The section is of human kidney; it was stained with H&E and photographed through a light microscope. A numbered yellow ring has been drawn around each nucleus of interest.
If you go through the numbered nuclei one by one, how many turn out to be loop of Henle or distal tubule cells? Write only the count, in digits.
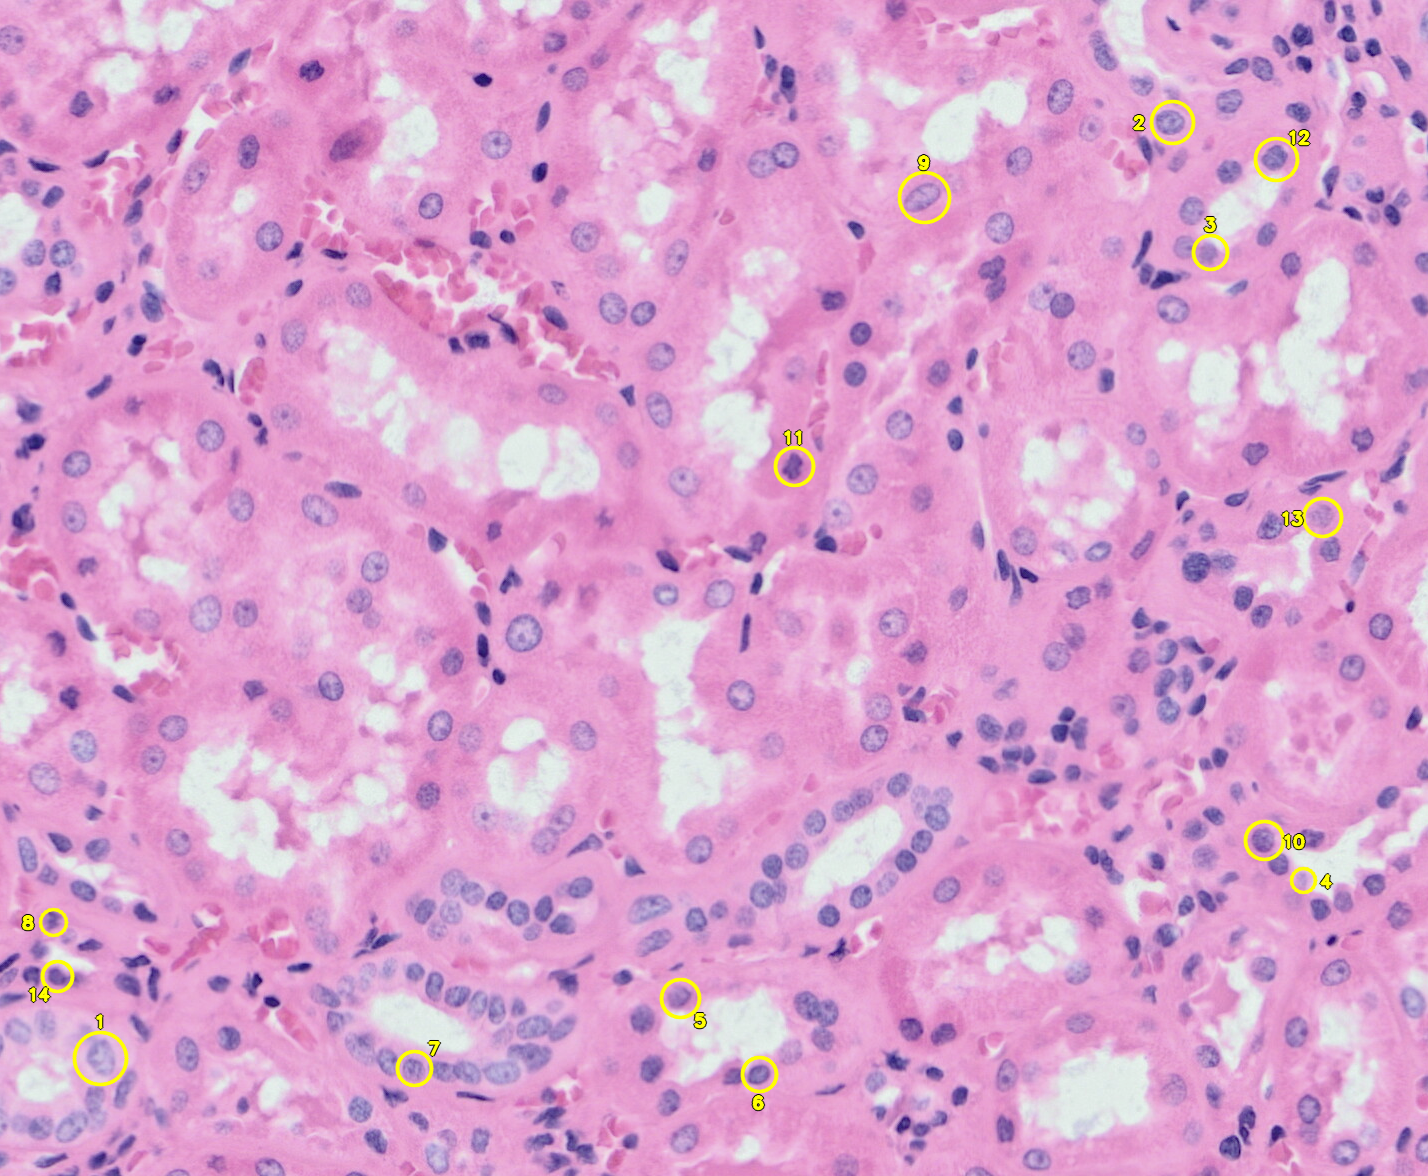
7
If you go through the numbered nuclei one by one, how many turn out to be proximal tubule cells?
2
